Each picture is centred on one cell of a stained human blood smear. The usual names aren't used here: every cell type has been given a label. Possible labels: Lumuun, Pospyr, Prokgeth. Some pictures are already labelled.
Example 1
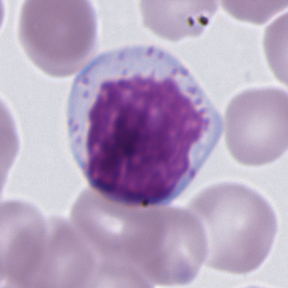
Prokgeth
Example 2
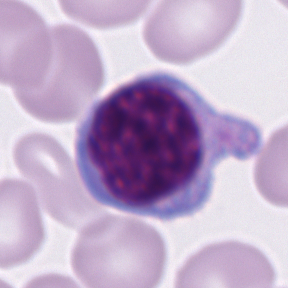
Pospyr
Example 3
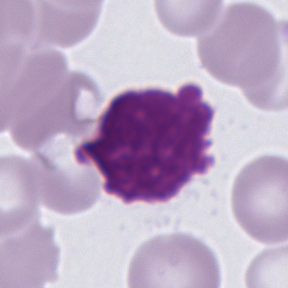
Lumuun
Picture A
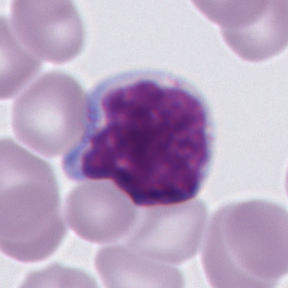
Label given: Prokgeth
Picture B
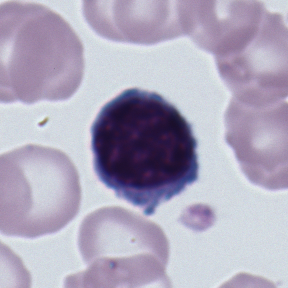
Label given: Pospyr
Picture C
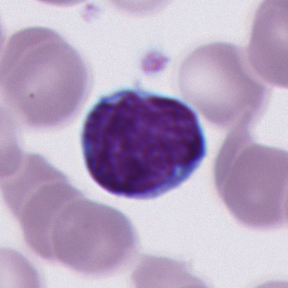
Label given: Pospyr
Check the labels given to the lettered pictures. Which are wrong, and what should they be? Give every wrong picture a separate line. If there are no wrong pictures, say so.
Every label is right.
